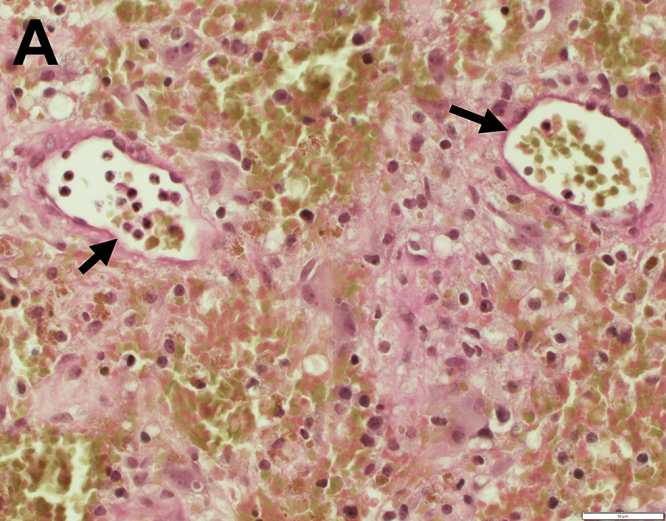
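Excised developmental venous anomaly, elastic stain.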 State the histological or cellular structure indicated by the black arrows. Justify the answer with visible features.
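Vessels. Round open lumens containing red blood cells. A thin rim of wall around each lumen.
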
